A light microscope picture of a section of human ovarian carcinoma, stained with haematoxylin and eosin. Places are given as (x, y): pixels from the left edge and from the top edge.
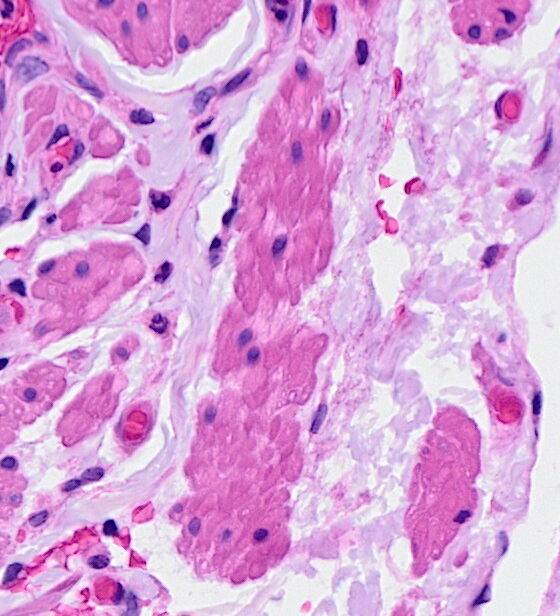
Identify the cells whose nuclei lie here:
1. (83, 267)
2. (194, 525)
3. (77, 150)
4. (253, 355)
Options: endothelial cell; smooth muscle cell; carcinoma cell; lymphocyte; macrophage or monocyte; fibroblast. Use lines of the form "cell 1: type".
cell 1: smooth muscle cell
cell 2: smooth muscle cell
cell 3: endothelial cell
cell 4: smooth muscle cell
